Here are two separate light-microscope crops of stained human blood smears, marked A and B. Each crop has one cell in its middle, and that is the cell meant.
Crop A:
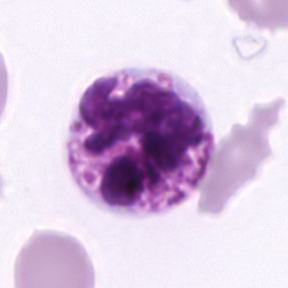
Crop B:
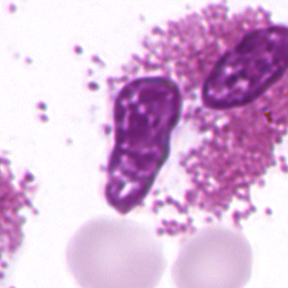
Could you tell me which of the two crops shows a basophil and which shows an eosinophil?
A: basophil
B: eosinophil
